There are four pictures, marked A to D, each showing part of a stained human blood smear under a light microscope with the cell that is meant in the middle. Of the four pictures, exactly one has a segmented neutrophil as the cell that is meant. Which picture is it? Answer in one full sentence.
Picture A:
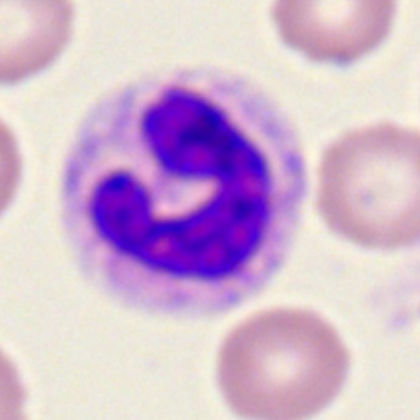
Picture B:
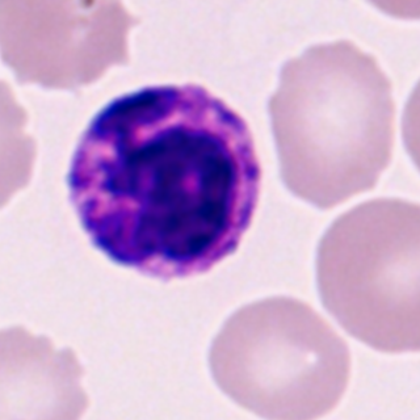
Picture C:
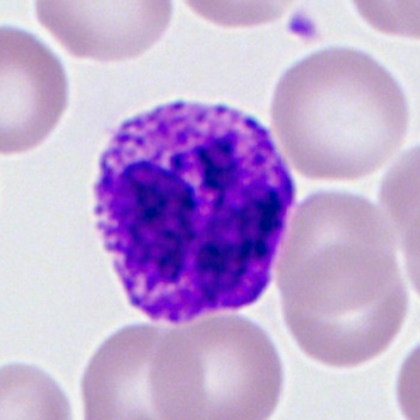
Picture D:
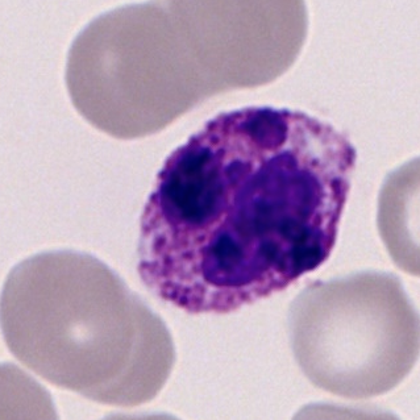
The segmented neutrophil is the one in picture A.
